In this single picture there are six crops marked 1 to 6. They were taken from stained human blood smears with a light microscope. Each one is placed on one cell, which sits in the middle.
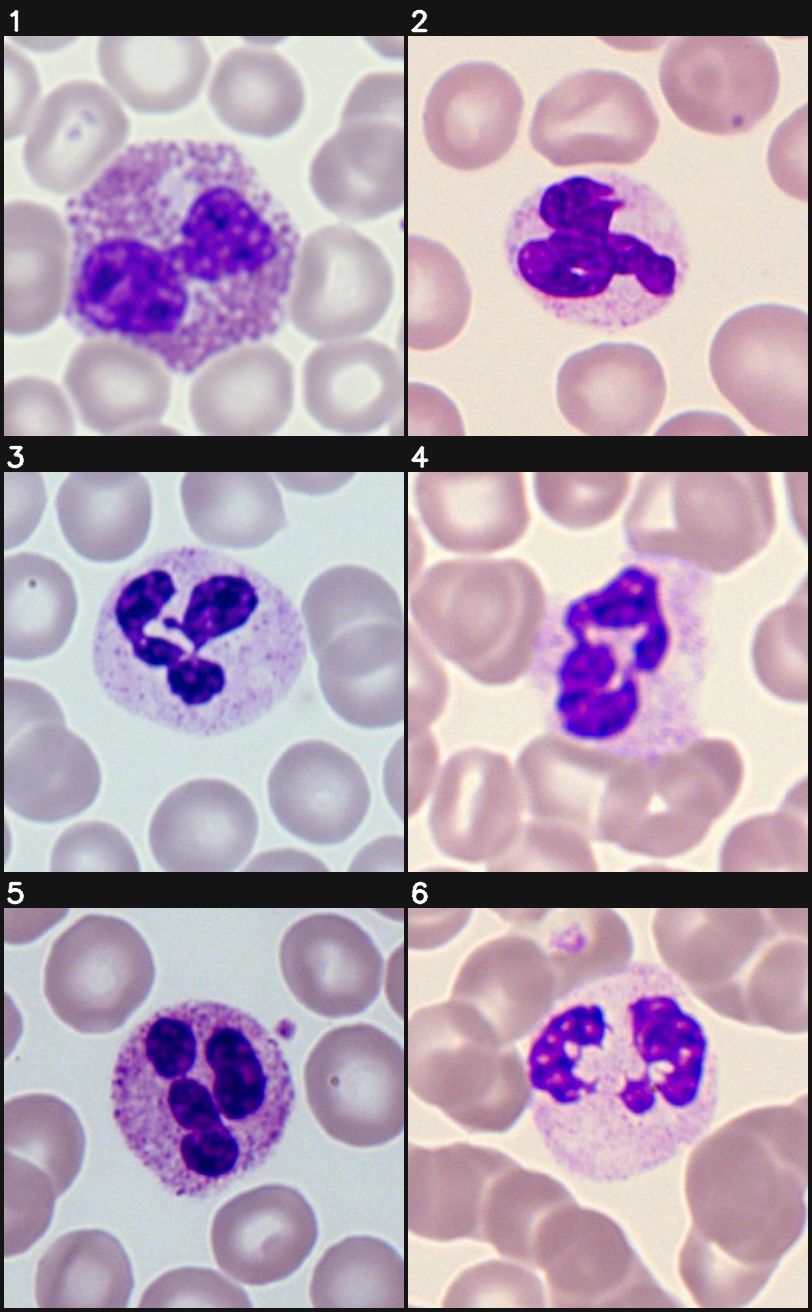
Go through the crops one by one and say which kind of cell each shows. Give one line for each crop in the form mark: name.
1: eosinophil
2: segmented neutrophil
3: segmented neutrophil
4: segmented neutrophil
5: segmented neutrophil
6: segmented neutrophil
